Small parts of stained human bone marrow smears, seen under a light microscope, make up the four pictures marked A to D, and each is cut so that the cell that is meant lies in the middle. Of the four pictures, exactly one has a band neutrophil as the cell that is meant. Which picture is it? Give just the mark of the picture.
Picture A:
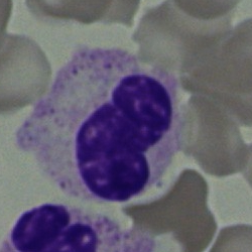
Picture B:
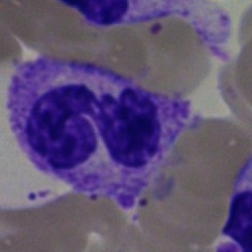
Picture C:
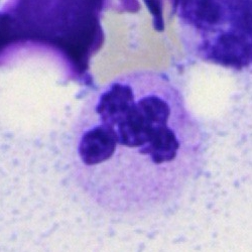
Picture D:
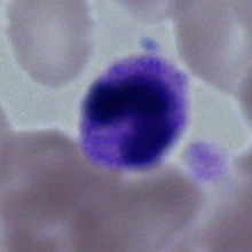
A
